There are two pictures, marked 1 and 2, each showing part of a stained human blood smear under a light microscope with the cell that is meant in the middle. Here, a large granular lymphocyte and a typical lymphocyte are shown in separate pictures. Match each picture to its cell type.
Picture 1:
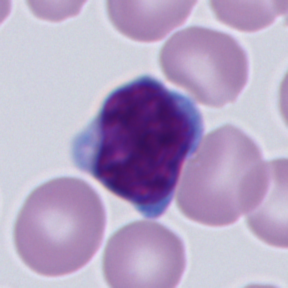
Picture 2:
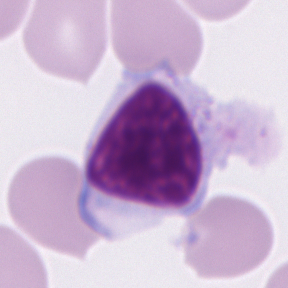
1: typical lymphocyte
2: large granular lymphocyte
